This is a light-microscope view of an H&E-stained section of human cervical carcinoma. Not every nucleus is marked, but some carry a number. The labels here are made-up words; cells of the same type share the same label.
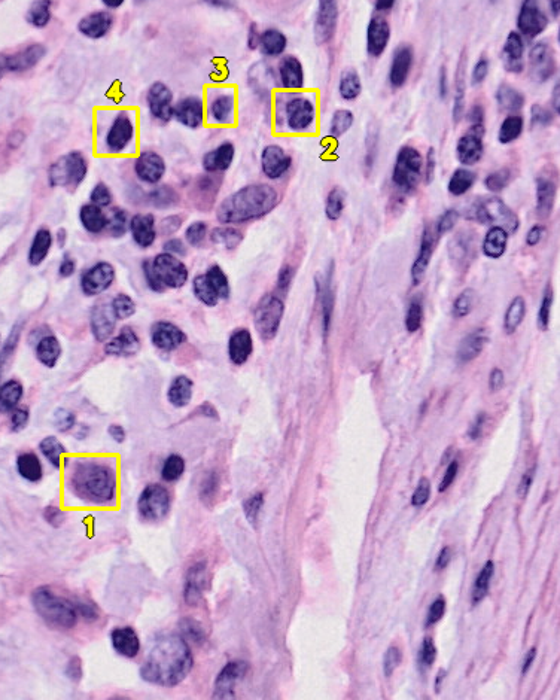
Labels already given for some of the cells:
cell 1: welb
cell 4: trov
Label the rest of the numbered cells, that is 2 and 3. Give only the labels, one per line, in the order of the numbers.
trov
trov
